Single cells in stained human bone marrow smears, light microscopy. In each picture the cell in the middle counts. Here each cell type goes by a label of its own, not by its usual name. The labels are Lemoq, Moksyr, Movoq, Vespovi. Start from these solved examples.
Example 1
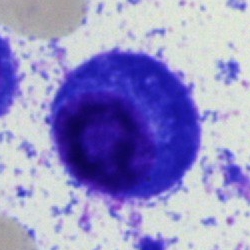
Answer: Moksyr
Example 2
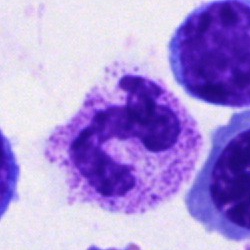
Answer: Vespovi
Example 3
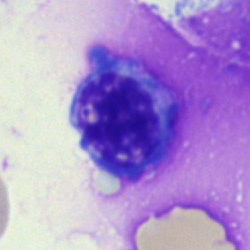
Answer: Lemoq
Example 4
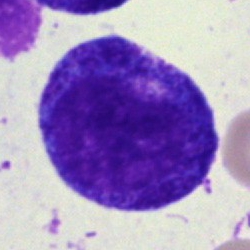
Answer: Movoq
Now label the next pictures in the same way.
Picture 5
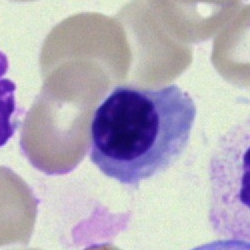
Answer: Lemoq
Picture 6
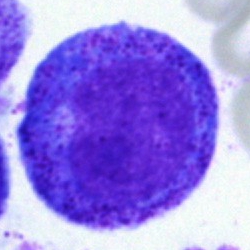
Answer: Movoq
